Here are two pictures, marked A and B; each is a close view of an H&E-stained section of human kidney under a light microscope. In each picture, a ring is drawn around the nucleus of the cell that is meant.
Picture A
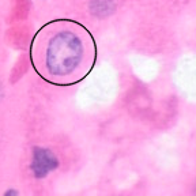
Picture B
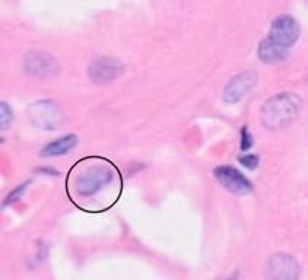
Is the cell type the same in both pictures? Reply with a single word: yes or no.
no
